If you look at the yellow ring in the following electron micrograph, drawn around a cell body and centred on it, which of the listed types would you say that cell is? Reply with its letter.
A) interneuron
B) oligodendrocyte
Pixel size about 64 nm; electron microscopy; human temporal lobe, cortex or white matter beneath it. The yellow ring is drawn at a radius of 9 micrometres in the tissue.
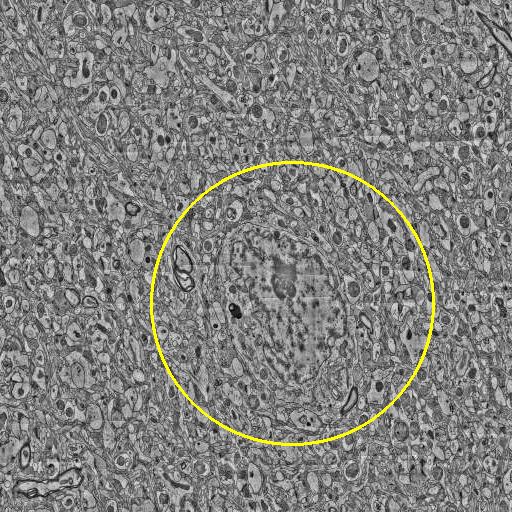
A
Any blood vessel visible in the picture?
No, no vessel shows anywhere in the image.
